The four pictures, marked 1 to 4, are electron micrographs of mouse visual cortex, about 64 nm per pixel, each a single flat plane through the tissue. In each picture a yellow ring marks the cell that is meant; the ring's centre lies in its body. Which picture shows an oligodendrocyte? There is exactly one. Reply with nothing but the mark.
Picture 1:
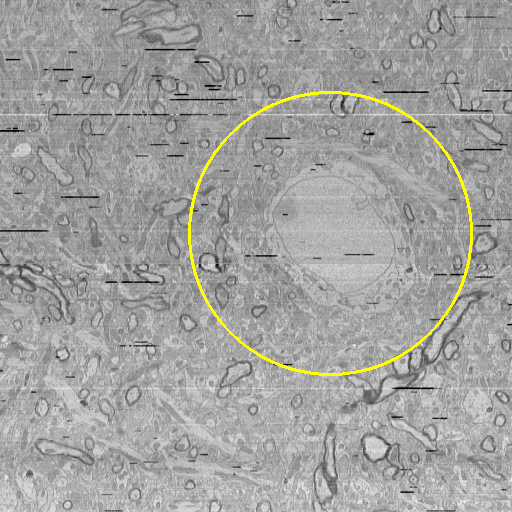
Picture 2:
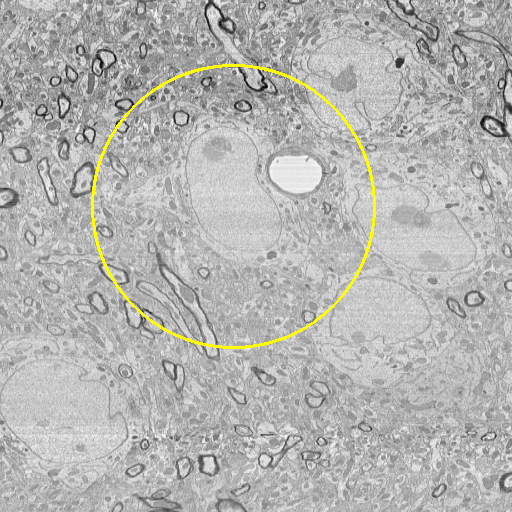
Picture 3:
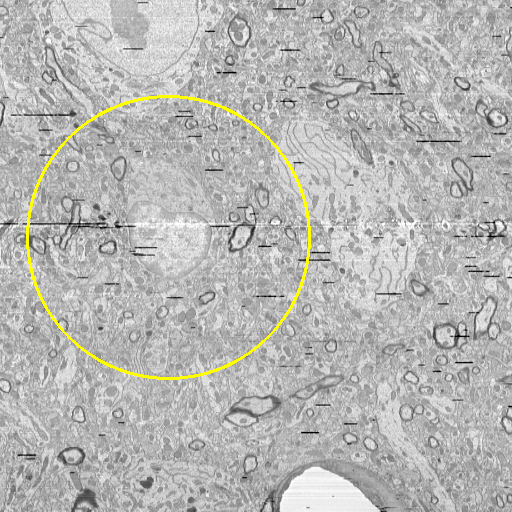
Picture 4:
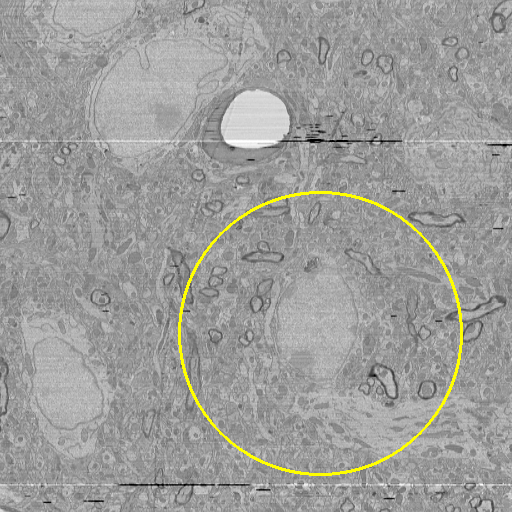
3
